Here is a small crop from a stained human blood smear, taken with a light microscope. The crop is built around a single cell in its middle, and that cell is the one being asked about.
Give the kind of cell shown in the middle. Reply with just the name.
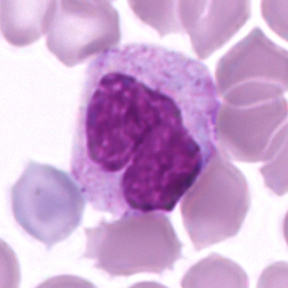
band neutrophil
